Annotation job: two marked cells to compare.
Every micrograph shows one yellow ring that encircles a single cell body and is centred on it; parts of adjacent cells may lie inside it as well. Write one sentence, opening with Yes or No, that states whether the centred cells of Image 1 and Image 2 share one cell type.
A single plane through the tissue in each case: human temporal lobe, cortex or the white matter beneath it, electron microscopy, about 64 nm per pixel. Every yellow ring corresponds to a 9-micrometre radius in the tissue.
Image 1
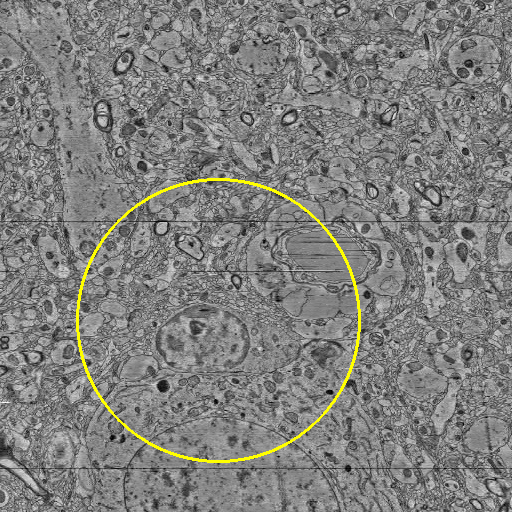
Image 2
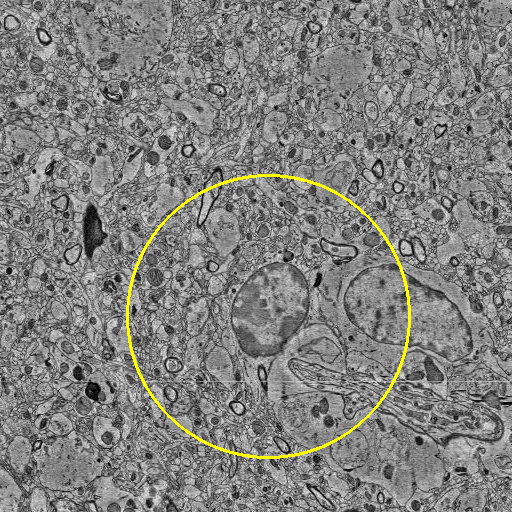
No, the cell centred in Image 1 and the cell centred in Image 2 are of two types.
